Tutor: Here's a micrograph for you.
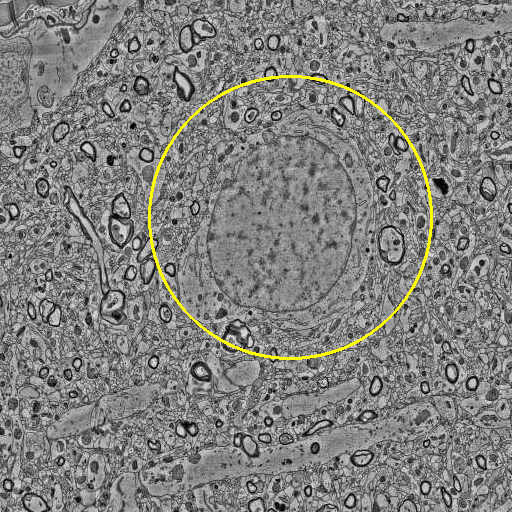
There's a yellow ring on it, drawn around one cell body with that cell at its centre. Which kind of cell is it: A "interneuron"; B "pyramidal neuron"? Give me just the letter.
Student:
A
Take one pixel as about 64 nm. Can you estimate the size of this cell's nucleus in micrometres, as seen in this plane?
In this plane the nucleus spans approximately 12 by 9 micrometers.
